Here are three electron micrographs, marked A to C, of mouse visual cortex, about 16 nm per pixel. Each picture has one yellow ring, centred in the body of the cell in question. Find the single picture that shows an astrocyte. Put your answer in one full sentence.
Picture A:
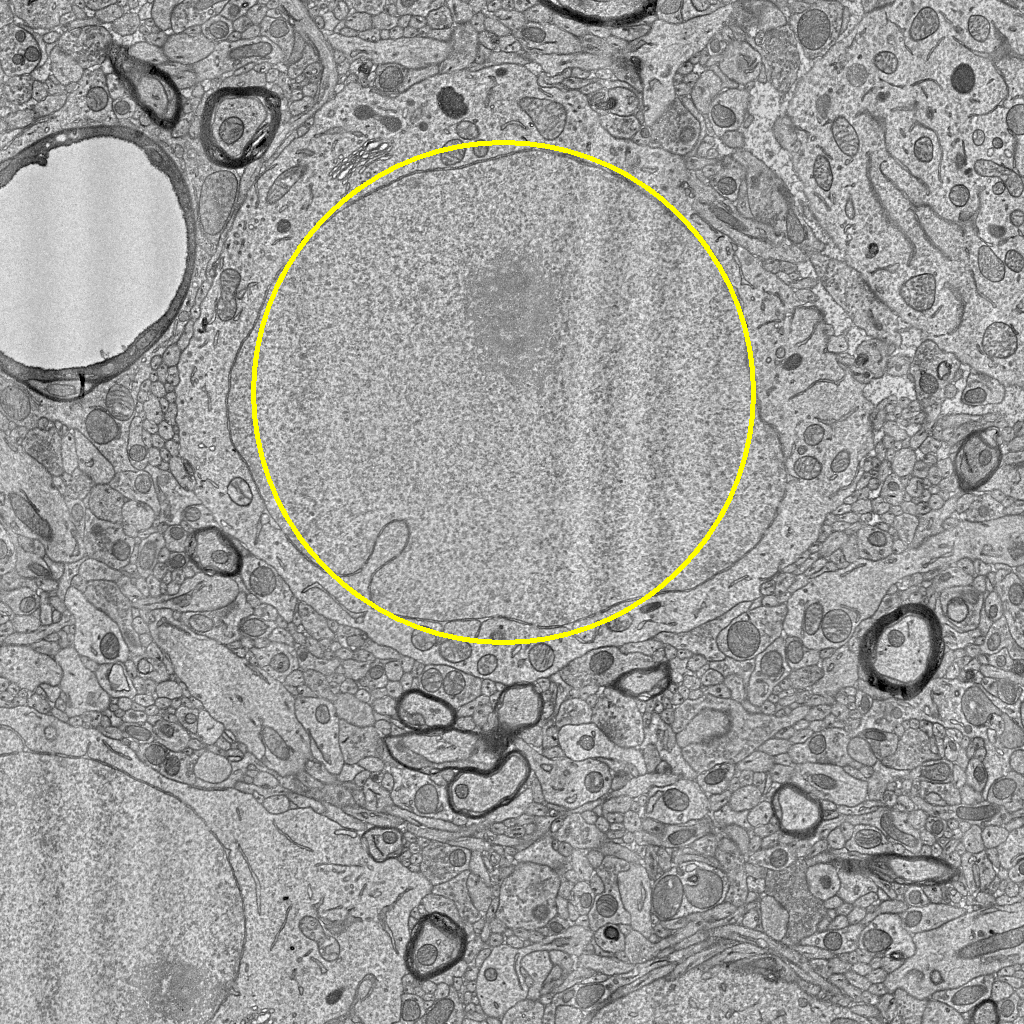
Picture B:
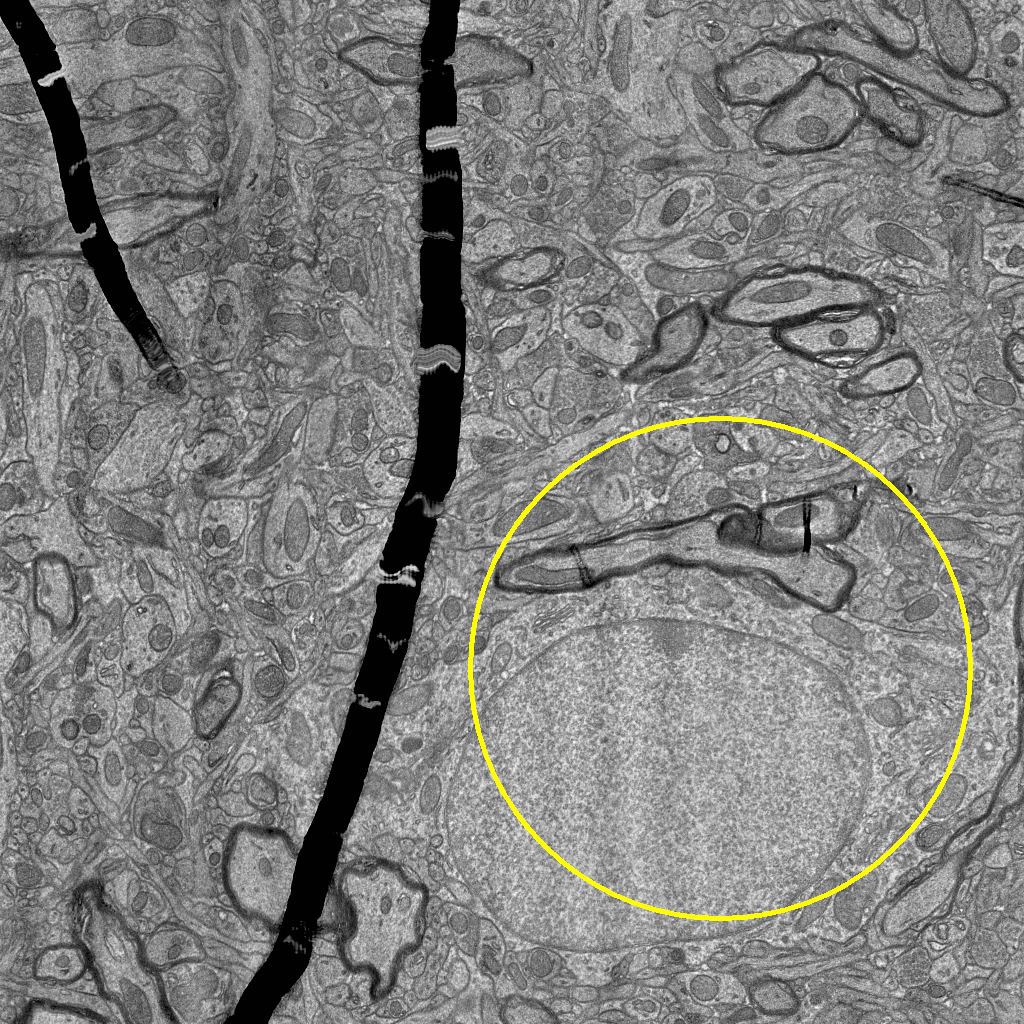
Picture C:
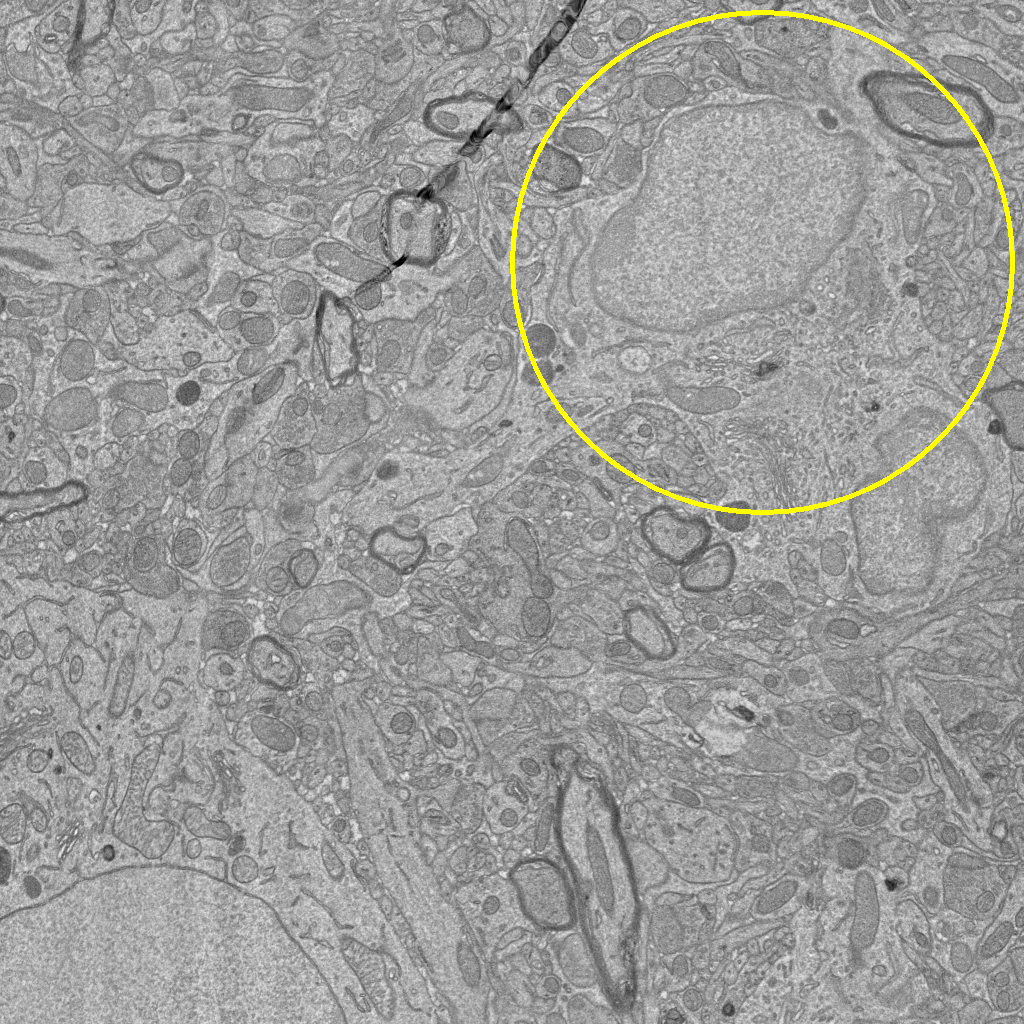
The picture with the astrocyte is B.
